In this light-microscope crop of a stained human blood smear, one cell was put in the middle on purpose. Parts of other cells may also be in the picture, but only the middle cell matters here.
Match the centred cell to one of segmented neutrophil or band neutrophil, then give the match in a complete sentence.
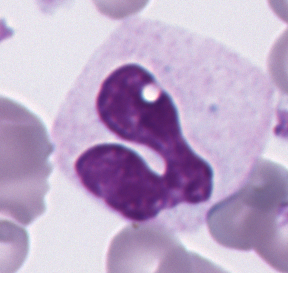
The cell of interest, in the center, is a segmented neutrophil.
